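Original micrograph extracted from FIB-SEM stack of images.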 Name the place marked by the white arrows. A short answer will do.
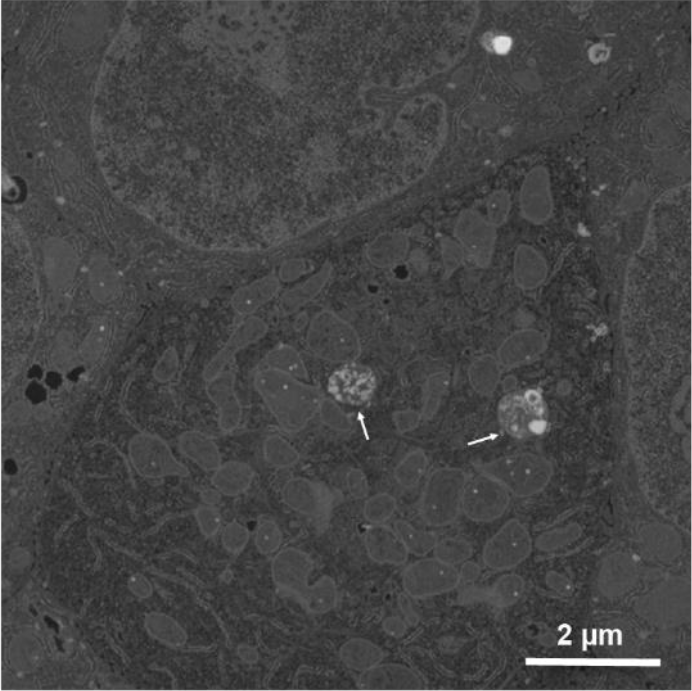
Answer: in the middle of the mitochondrial network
